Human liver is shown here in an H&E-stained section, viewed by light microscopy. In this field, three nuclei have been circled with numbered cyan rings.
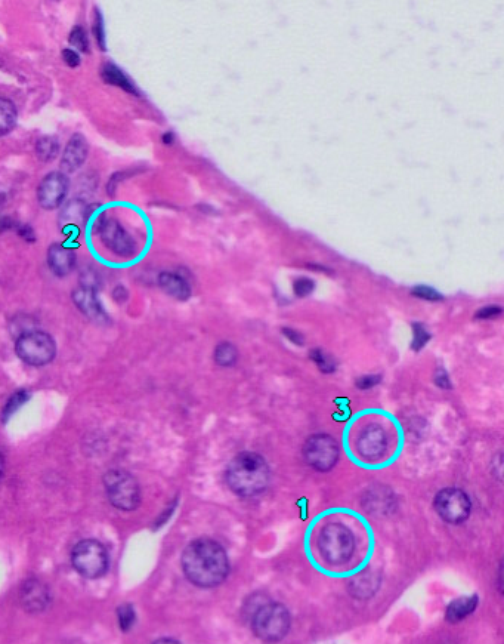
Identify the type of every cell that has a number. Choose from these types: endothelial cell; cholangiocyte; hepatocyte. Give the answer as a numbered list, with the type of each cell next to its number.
1. hepatocyte
2. cholangiocyte
3. cholangiocyte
